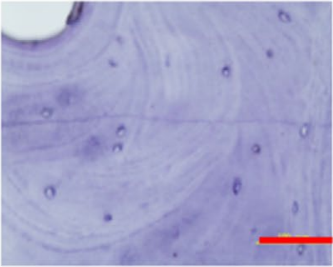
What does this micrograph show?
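This is normal tissue made mostly of pale blue-purple matrix, with only a few cells in it. Faint curved lines run through the matrix in layers. Small cells sit singly in little spaces scattered widely apart within the matrix. Almost no brown stain is seen anywhere in the field.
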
